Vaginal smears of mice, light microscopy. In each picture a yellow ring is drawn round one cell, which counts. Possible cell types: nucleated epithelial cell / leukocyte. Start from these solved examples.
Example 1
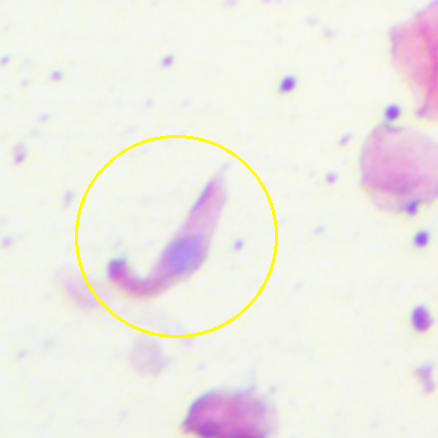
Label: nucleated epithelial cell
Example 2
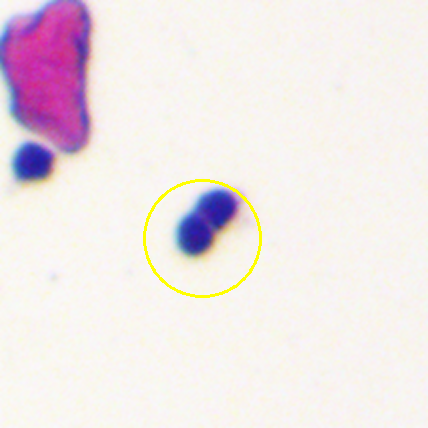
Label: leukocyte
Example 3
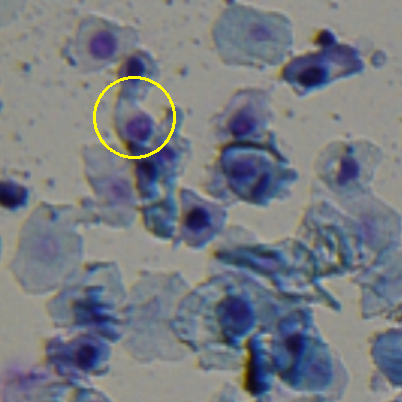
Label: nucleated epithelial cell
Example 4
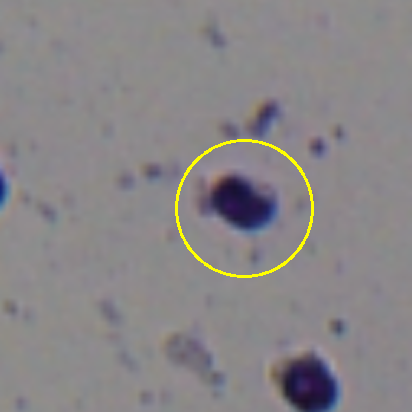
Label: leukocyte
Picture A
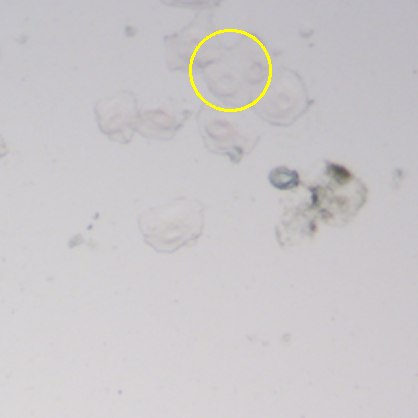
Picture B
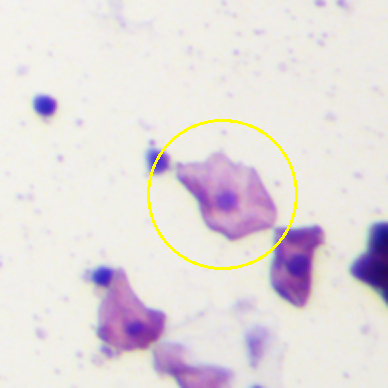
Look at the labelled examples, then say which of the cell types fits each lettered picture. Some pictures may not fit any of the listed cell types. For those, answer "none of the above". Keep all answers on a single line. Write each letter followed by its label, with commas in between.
A nucleated epithelial cell, B nucleated epithelial cell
